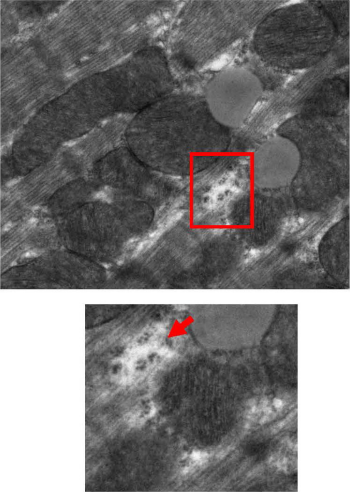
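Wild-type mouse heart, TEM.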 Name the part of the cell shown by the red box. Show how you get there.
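The boxed area holds many small dark granules in a pale region. The enlarged inset shows the clustered dark particles. So: glycogen deposits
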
